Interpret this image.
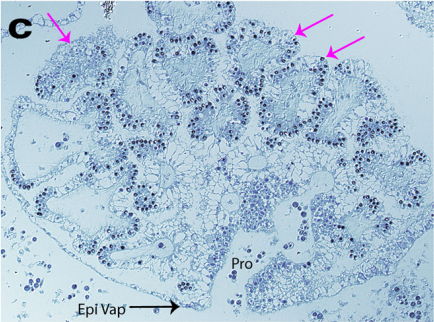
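A section through a cluster of lobed, rounded cassiosomes rising from the epithelium of the vesicular appendage pocket. Each lobe is bounded by a peripheral cell layer in which dense, dark blue round nematocysts lie in rows, while the interior of the lobes is paler and loosely textured. A thin epithelial sheet runs along the lower edge of the cluster.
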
